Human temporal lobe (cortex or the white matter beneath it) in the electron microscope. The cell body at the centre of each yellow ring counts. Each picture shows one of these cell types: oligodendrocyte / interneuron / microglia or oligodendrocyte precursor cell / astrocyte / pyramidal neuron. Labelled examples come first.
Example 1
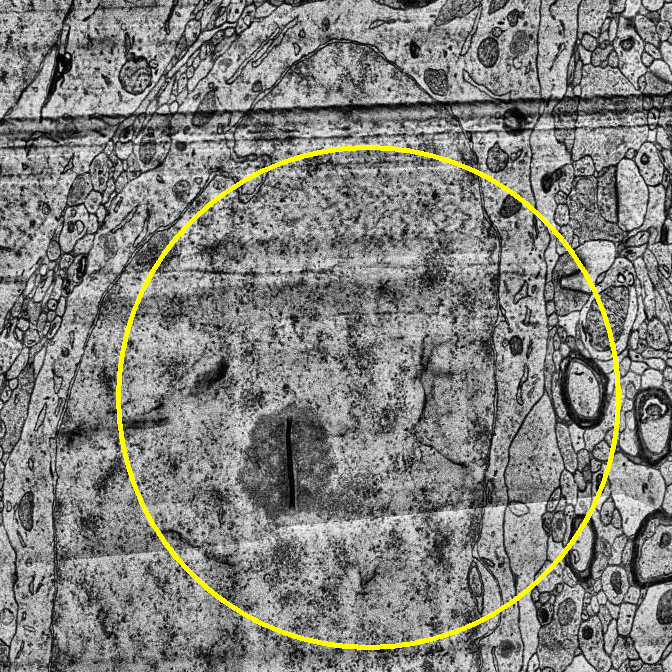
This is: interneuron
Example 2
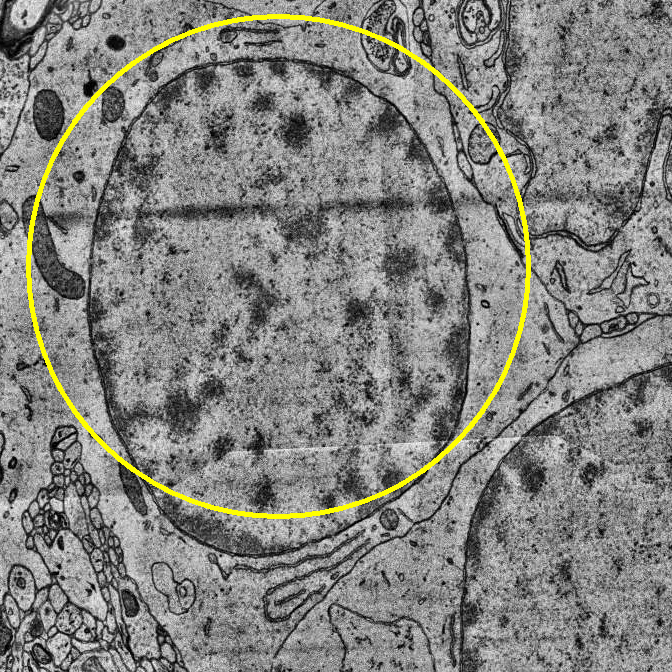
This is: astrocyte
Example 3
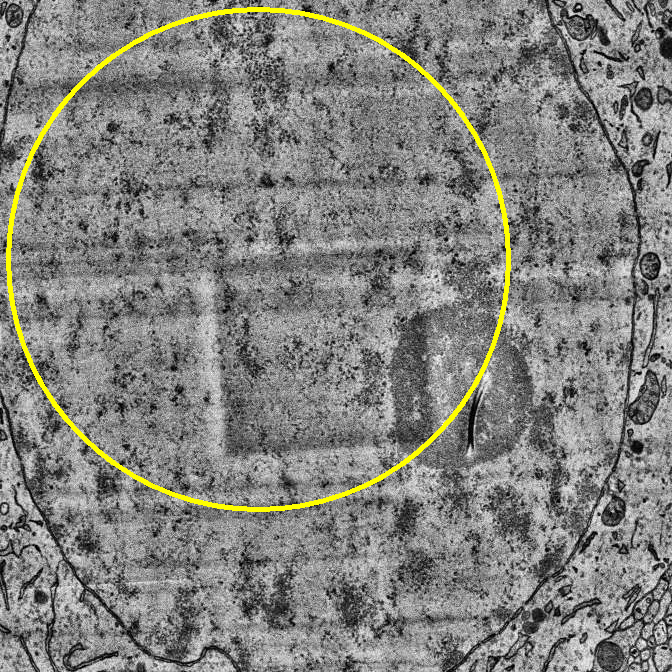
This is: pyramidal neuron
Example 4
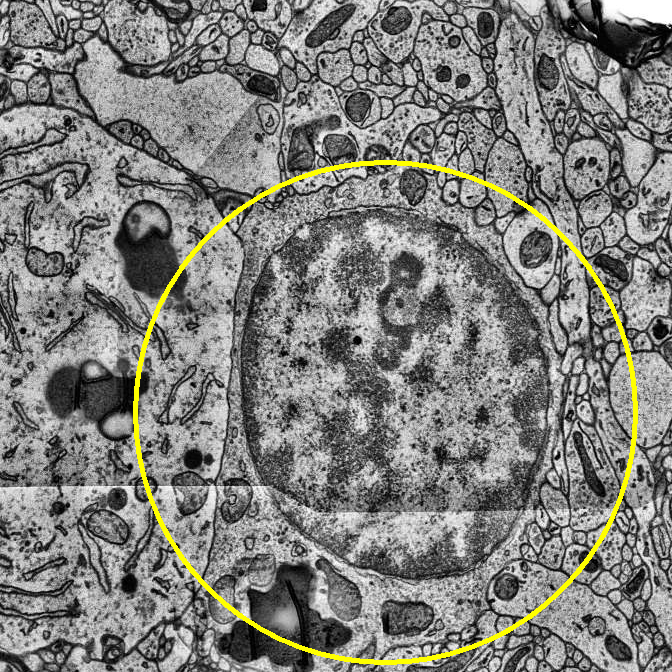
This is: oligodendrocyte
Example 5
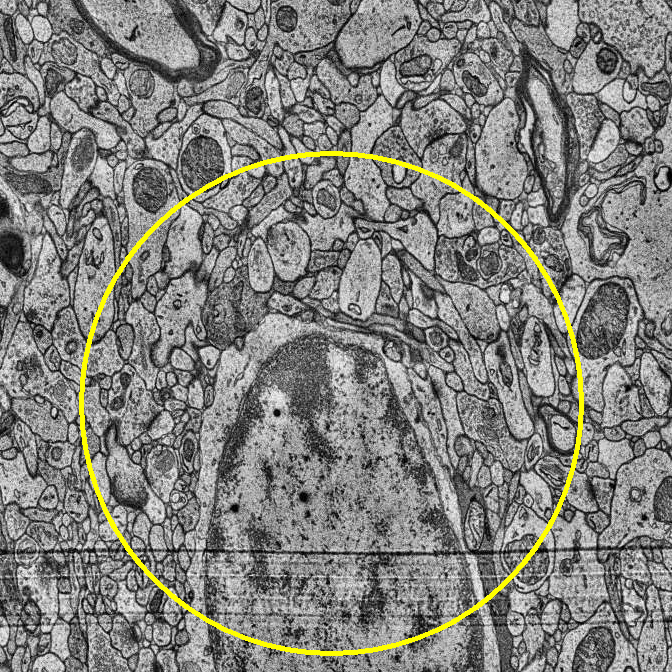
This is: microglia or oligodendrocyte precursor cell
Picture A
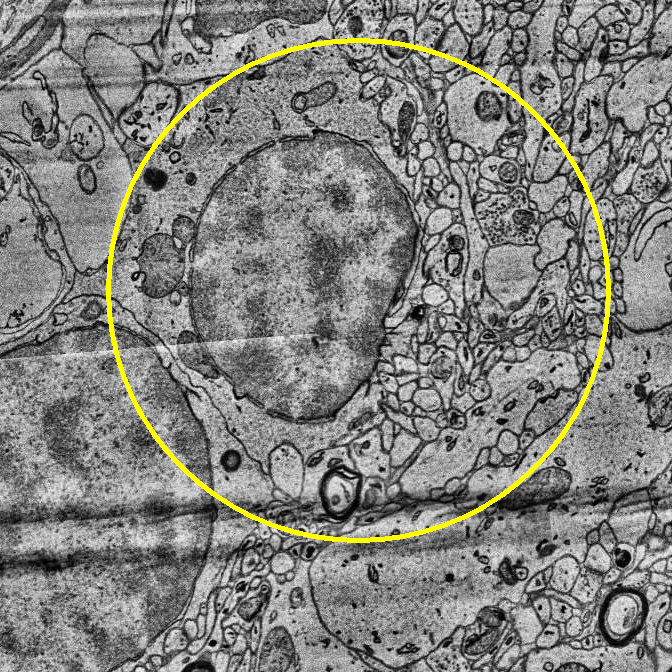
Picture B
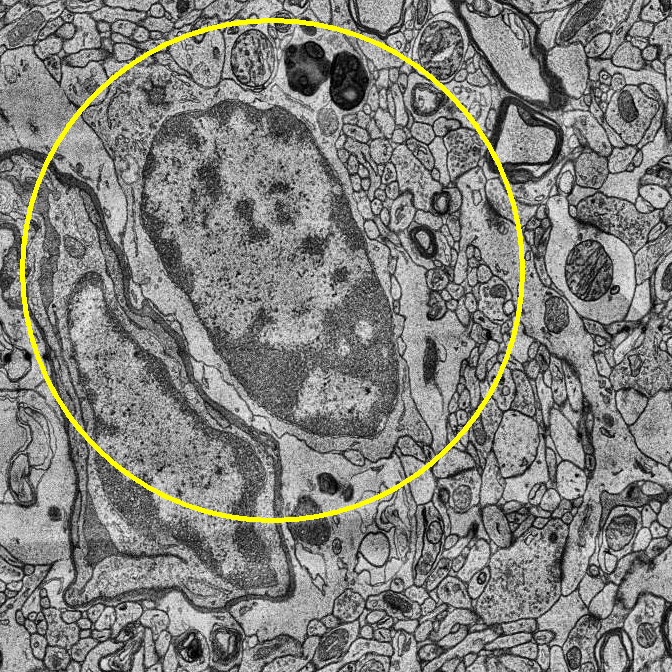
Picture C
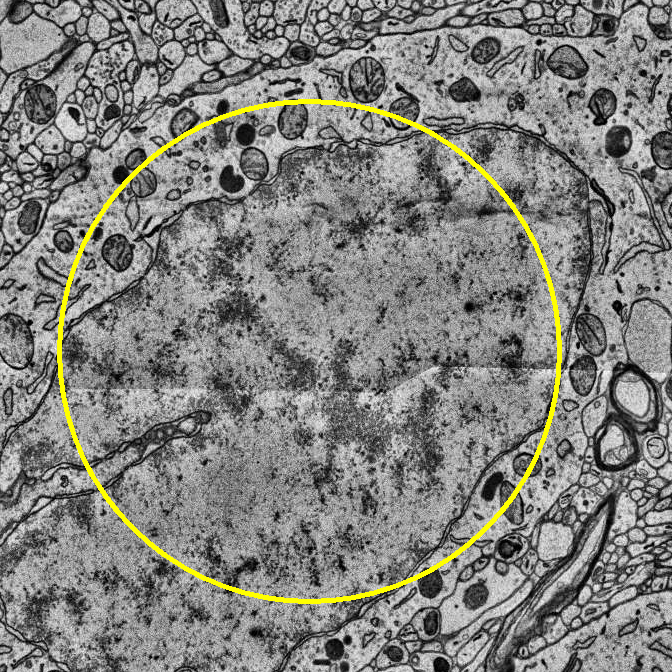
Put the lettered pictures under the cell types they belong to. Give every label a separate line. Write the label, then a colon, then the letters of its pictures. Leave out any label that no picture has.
oligodendrocyte: A
interneuron: C
microglia or oligodendrocyte precursor cell: B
